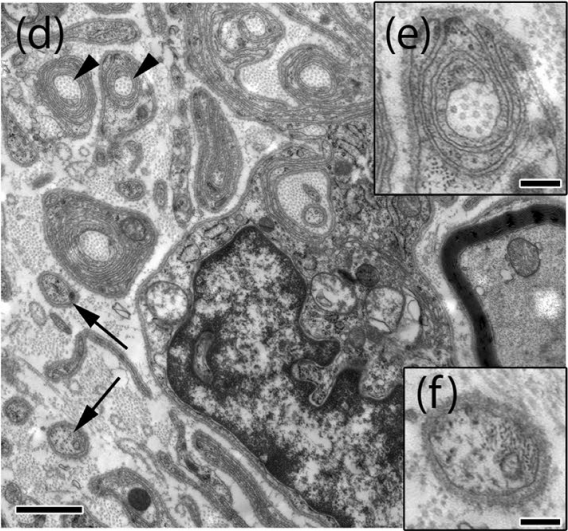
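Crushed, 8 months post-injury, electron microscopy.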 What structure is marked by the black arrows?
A: Non-myelinated axons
